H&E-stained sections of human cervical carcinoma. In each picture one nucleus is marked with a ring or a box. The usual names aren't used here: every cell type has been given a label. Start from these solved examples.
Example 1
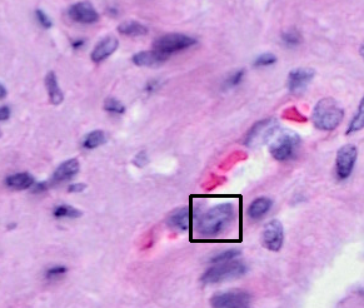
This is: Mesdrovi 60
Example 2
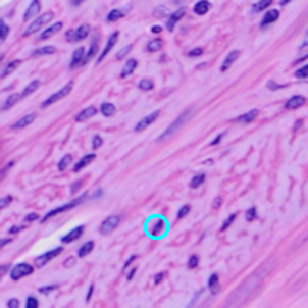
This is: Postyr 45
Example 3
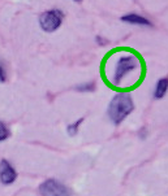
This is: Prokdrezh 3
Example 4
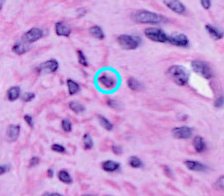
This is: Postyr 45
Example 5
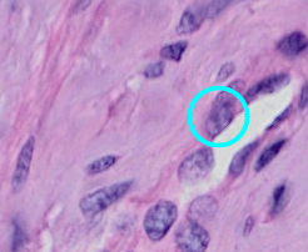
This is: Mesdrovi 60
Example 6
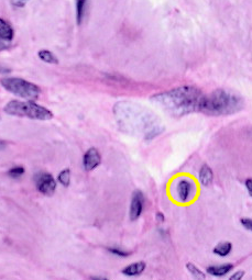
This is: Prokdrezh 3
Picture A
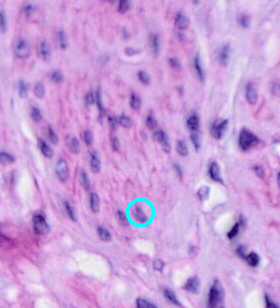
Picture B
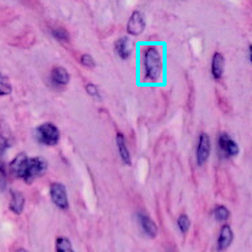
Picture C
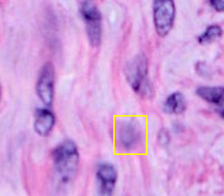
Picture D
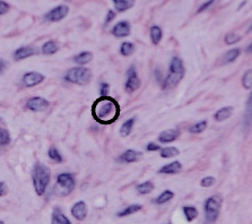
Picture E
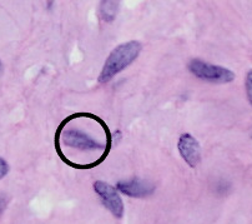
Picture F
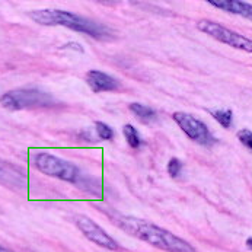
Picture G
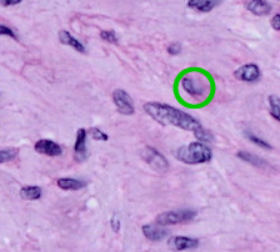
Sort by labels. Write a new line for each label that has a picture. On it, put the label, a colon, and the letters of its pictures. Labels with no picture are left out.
Postyr 45: A, B, C, D, F, G
Prokdrezh 3: E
